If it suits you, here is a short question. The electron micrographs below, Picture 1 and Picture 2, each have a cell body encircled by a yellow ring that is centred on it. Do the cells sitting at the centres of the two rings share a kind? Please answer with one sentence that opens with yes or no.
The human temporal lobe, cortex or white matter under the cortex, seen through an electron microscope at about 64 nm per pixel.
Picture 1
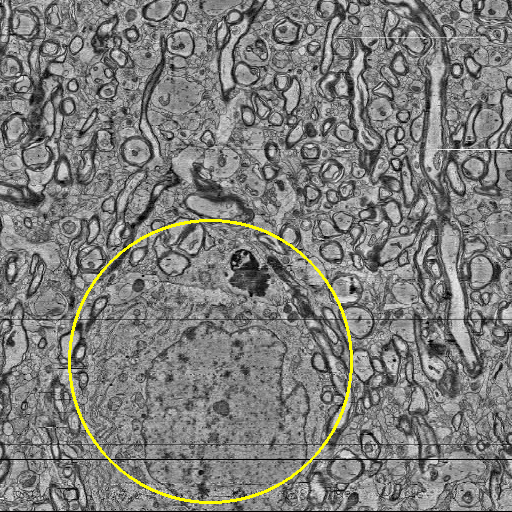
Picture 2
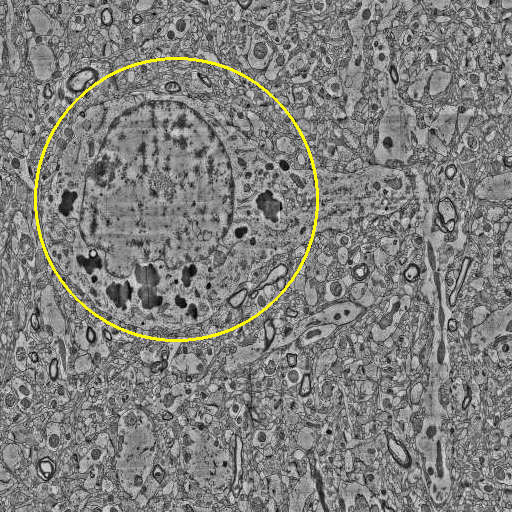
Yes, the two cells sitting at the ring centres share a single kind.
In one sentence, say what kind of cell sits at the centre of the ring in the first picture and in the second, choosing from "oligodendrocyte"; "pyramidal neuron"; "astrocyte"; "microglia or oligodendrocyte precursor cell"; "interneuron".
Both rings mark an interneuron, one in each picture.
